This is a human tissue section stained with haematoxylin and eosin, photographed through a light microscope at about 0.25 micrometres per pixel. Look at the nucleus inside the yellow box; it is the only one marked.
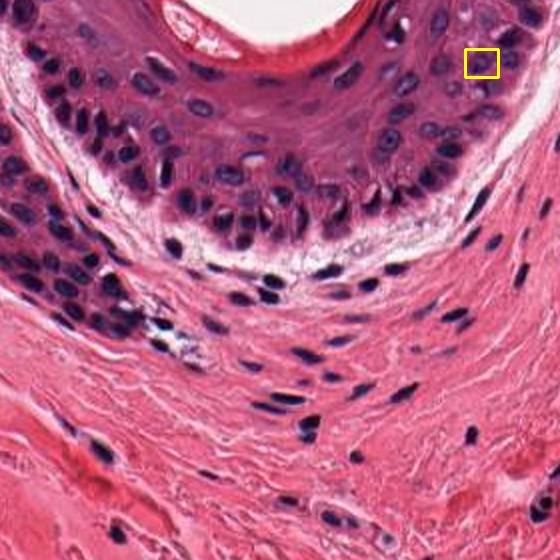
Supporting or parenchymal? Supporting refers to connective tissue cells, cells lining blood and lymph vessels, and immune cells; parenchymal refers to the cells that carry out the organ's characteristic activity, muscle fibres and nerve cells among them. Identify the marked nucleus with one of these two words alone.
parenchymal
